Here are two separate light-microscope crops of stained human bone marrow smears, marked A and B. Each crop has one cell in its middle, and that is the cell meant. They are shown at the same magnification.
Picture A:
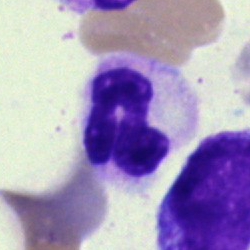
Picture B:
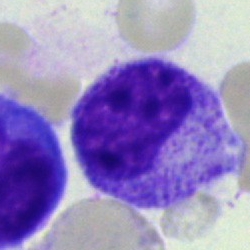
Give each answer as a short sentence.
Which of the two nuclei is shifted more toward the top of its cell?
Seen within its cell, the nucleus in picture B lies further toward the top.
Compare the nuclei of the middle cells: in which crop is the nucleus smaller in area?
The nucleus in picture A is smaller; the one in picture B has about 1.5 times its area.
